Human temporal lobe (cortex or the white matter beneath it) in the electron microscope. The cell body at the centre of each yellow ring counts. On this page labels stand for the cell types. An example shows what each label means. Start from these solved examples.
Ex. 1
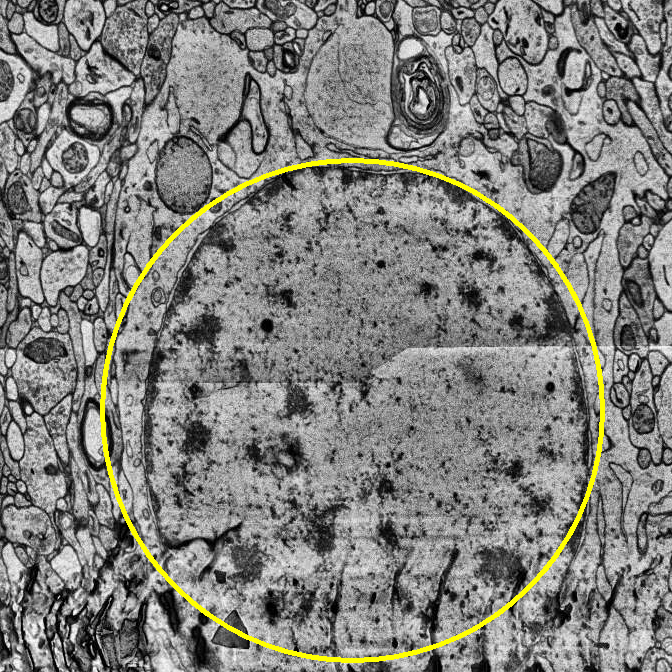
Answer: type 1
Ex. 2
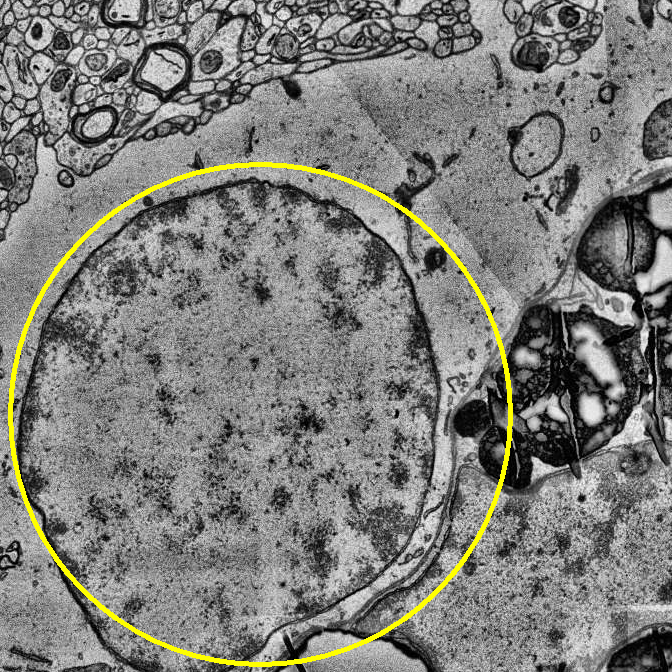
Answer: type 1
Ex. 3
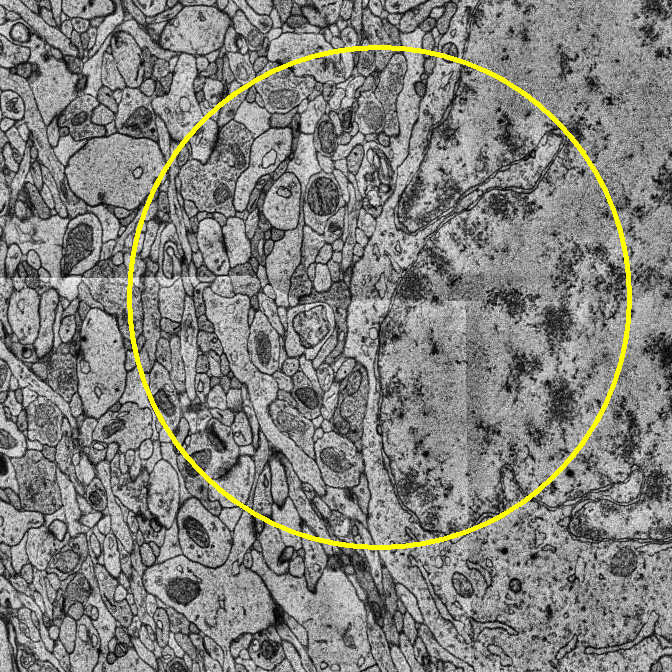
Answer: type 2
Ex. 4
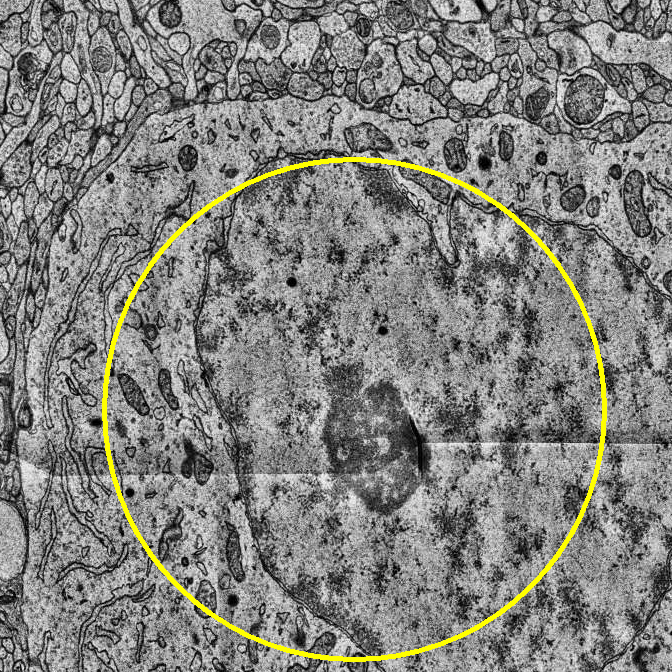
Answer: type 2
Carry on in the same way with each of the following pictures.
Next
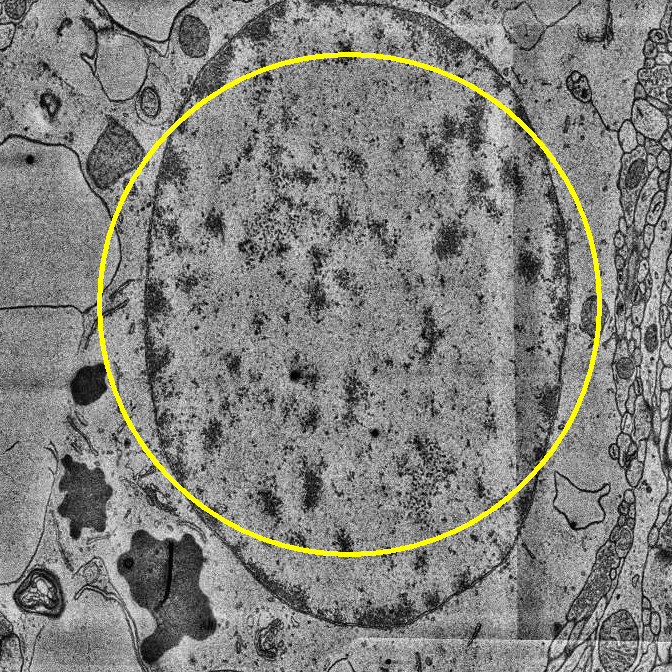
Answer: type 1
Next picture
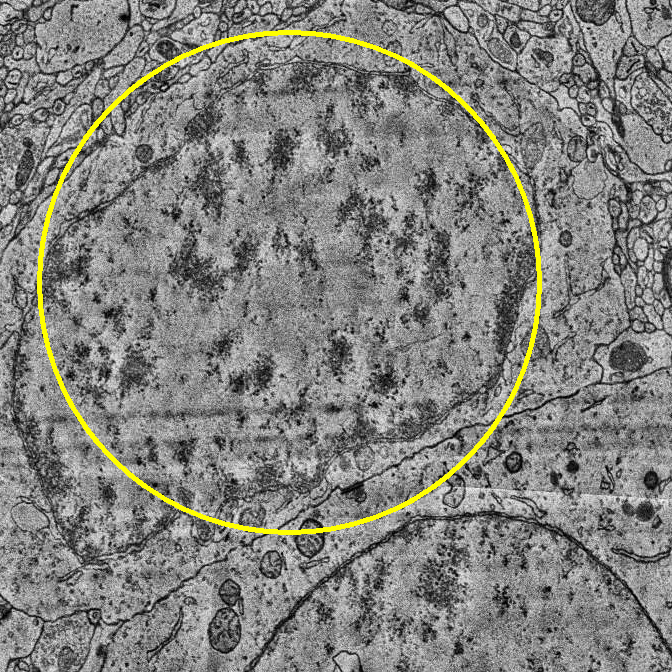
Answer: type 2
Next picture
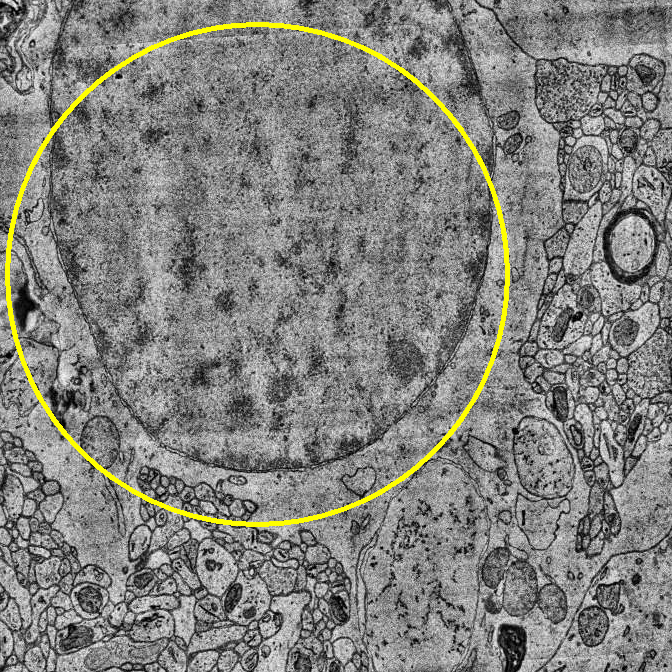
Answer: type 1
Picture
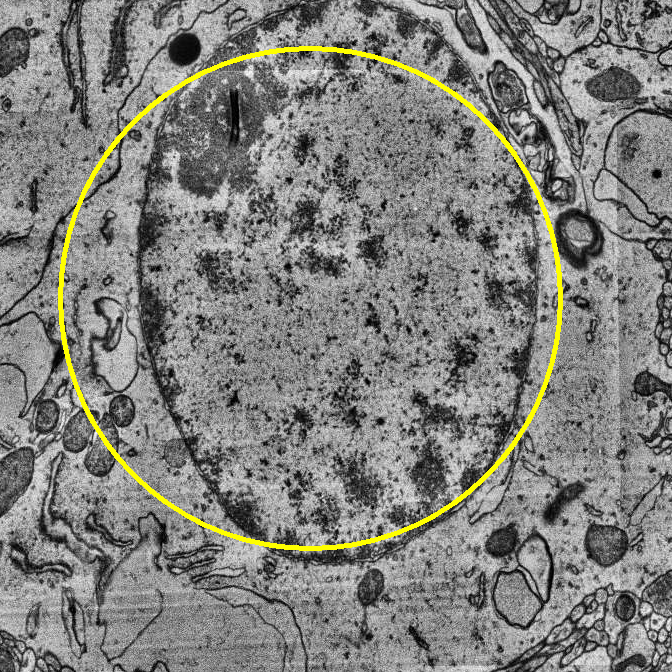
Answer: type 1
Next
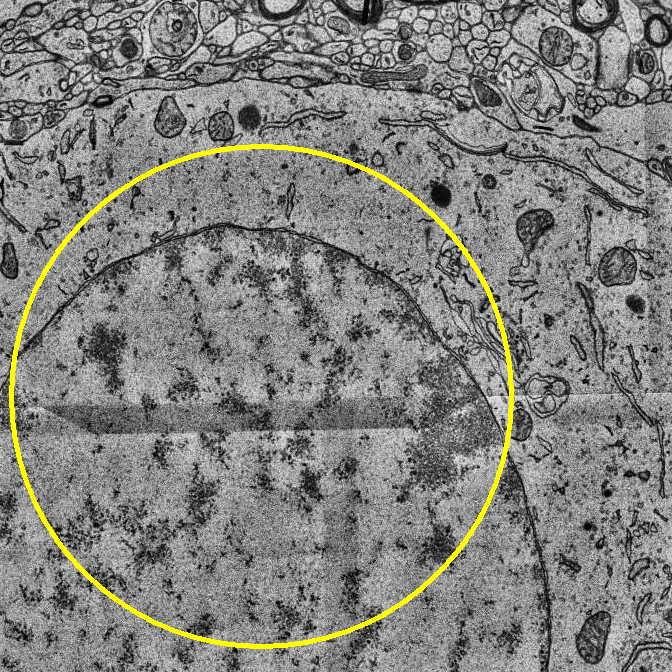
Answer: type 2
